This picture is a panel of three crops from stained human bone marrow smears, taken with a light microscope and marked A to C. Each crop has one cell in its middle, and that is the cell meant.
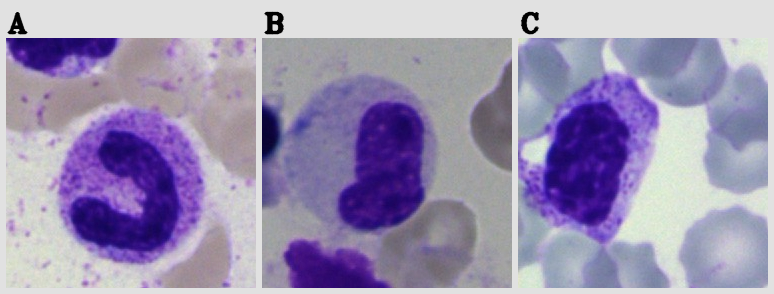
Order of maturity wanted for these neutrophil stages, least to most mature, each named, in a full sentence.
Ordered least to most mature, the series reads crop C (a myelocyte), crop B (a band neutrophil) and crop A (a segmented neutrophil).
